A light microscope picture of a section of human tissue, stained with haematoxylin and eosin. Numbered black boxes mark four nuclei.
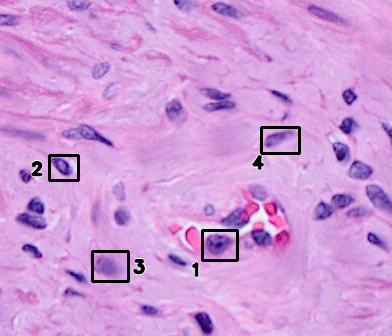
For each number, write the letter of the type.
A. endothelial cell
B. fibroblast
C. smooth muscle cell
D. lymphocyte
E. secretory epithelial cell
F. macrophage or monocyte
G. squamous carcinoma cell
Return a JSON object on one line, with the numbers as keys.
{"1": "A", "2": "B", "3": "B", "4": "B"}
